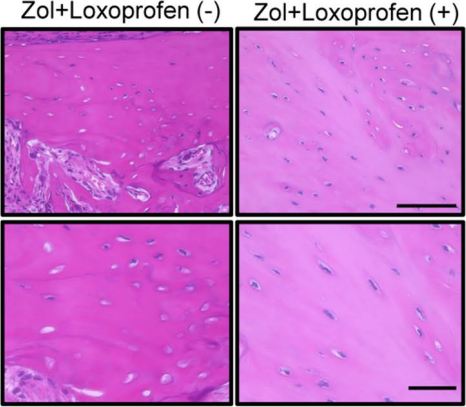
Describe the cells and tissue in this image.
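These are sections of bone, with a dense, homogeneous pink-staining matrix in which many small, elongated lacunae lie scattered, roughly aligned with the matrix. In the images on the left, most lacunae look pale and empty, with no dark nucleus inside. At the lower left of the top left image there are spaces in the bone filled with loose tissue containing many small purple nuclei. In the images on the right, the matrix is paler pink and most lacunae hold a single dark purple, spindle-shaped nucleus of an osteocyte, so fewer lacunae appear empty.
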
